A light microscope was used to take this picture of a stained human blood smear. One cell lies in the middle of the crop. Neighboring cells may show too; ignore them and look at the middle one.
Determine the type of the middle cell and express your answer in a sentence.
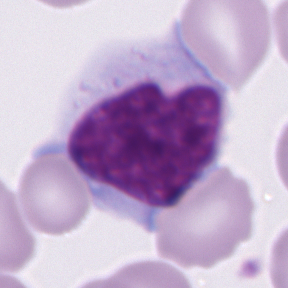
Centred in the crop is a large granular lymphocyte.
